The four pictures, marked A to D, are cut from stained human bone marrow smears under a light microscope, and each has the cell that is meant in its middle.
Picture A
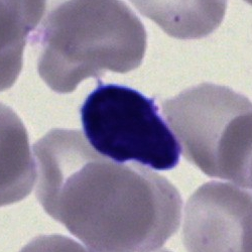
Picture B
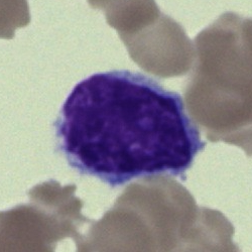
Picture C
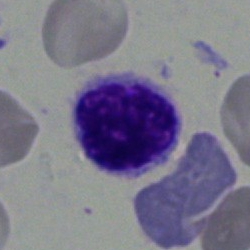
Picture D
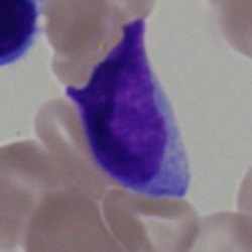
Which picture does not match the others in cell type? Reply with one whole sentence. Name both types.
Unlike the rest, which show lymphocytes, picture D shows a blast.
